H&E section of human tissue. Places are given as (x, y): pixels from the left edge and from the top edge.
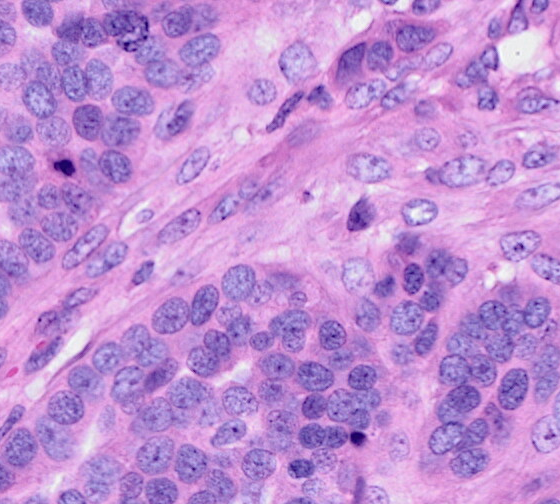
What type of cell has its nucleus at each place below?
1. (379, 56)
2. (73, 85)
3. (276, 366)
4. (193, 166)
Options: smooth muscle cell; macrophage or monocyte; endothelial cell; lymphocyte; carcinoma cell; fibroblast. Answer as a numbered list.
1. carcinoma cell
2. carcinoma cell
3. carcinoma cell
4. fibroblast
